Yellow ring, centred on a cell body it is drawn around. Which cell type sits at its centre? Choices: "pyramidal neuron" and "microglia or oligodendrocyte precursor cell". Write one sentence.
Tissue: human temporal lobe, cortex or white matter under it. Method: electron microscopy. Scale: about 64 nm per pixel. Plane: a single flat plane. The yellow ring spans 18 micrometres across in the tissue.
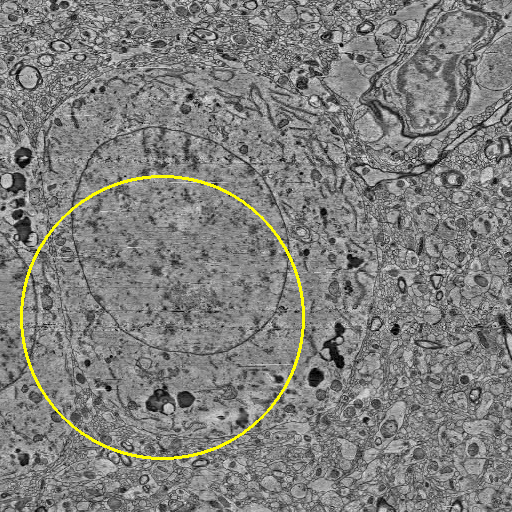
At the centre of the ring sits a pyramidal neuron.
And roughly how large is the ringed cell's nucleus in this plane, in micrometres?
In this plane, about 16 micrometres in length and 13 in width.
